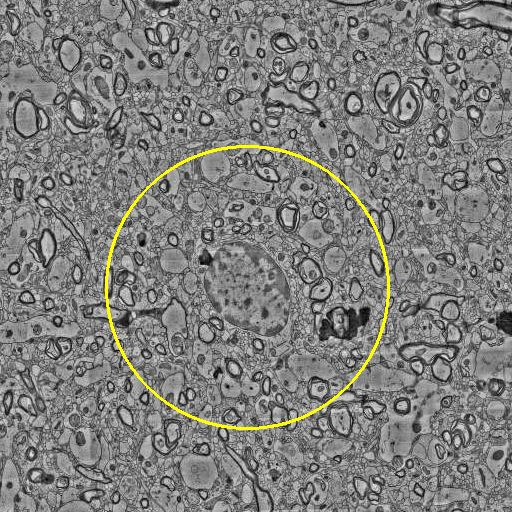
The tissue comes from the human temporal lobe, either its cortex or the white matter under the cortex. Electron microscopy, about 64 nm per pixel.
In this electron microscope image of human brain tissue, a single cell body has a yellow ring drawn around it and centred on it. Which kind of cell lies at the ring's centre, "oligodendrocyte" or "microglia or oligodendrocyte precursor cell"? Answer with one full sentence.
It is a microglial cell or oligodendrocyte precursor cell whose cell body lies at the centre of the yellow ring here.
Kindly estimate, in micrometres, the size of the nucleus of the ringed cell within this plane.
The nucleus is approximately 7 micrometers long by 5 micrometers wide in this plane.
